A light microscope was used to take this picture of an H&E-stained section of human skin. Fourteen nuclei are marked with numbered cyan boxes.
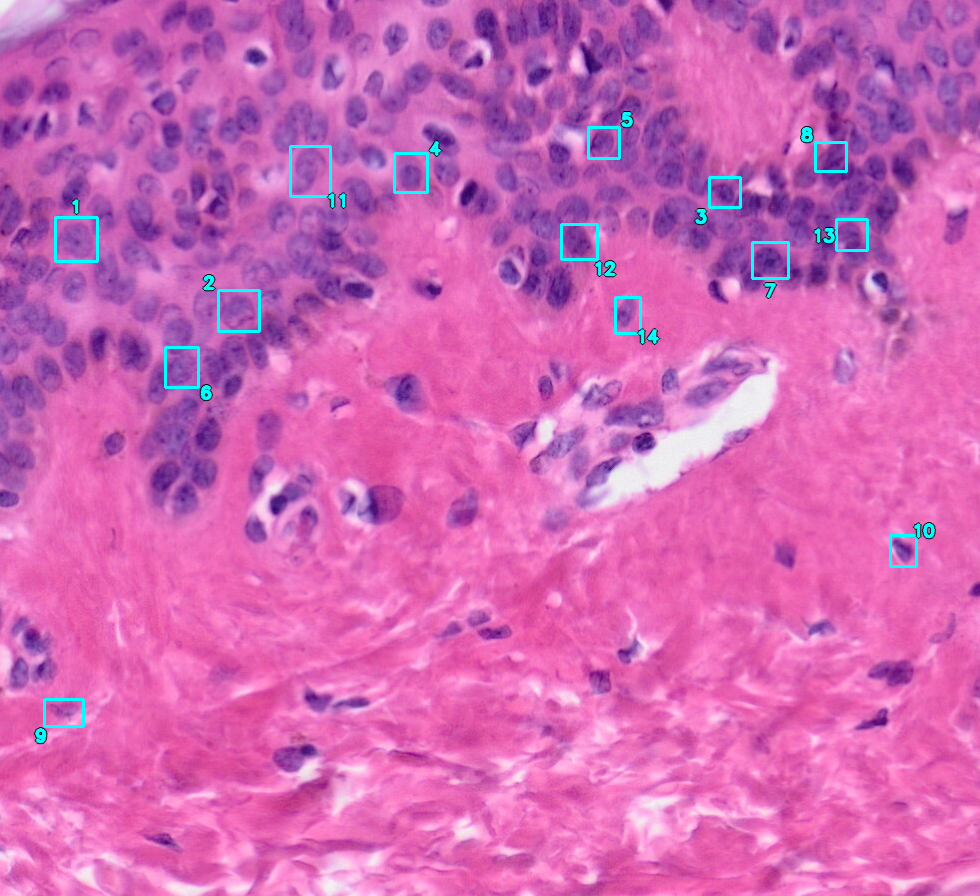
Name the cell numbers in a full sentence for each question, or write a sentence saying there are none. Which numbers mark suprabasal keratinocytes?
The numbers 1, 2 and 11 mark cells that are suprabasal keratinocytes.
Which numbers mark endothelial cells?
The numbered cells, every one of them, are not endothelial cells.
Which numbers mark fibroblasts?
The cells that have been numbered 9, 10 and 14 are fibroblasts.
